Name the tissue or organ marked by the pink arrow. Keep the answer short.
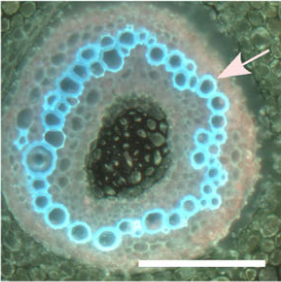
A: Xylem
